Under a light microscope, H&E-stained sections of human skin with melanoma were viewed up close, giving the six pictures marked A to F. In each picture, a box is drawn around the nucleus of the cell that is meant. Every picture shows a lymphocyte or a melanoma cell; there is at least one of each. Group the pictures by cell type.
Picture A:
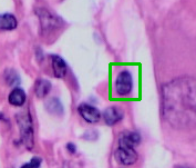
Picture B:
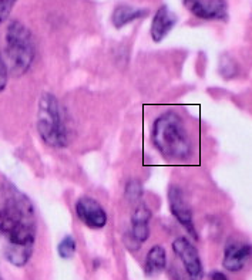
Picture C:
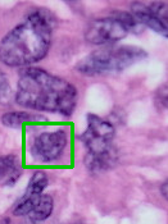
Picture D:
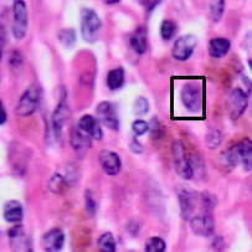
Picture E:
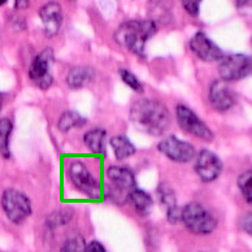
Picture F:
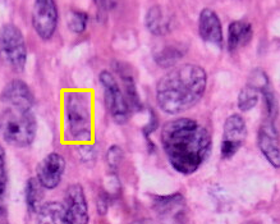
A: lymphocyte
B: melanoma cell
C: melanoma cell
D: lymphocyte
E: melanoma cell
F: melanoma cell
